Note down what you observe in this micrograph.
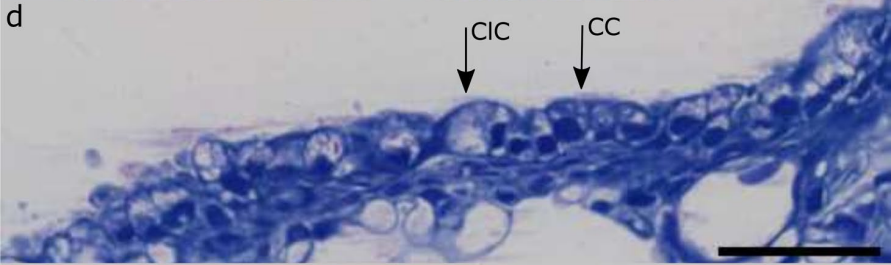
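Low lining epithelium of a small airway with club cells and ciliated cells. The epithelium is a single thin layer of cuboidal to low columnar cells. Club cells are rounded and dome-shaped, bulging into the lumen, with pale, vacuolated-looking cytoplasm and dark nuclei. Beneath the epithelium lies a thin band of connective tissue, and below it rounded clear spaces lined by thin walls. Toward the right the layer becomes thicker and more crowded. Everything stains in shades of blue.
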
